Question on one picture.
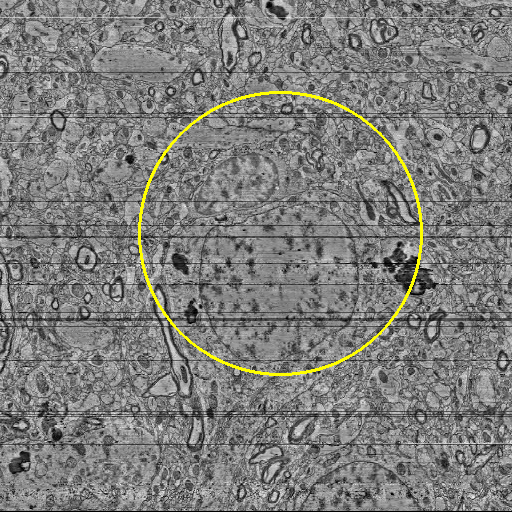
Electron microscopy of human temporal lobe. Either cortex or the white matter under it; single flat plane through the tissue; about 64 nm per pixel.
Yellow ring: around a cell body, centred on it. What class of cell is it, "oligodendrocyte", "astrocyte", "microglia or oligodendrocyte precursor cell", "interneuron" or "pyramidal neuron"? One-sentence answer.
This is a pyramidal neuron, the cell the ring is centred on.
